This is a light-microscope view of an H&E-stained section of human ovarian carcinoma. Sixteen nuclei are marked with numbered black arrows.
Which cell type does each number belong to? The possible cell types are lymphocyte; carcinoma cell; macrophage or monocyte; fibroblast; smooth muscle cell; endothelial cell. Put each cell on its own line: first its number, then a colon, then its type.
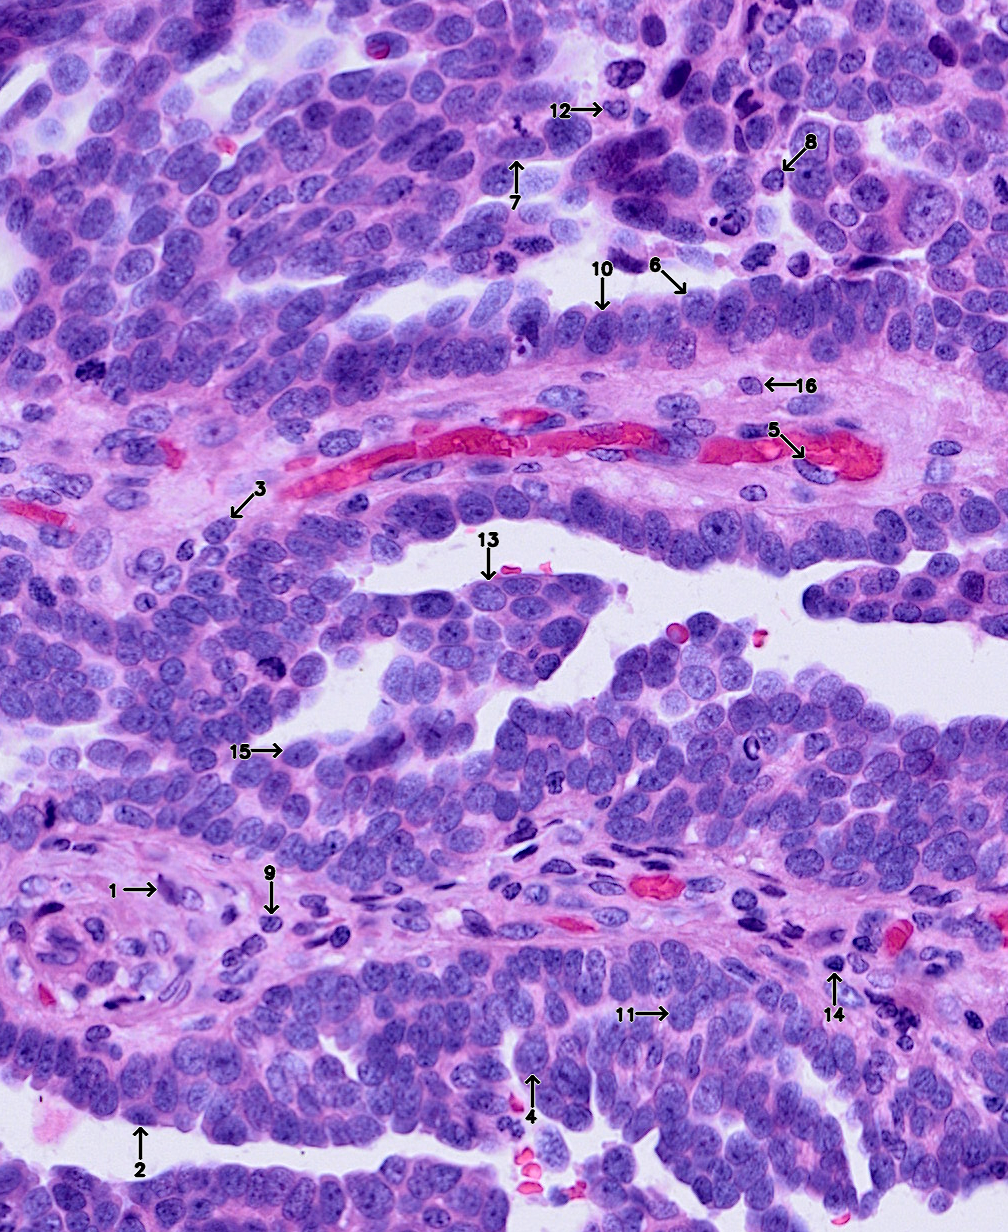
1: fibroblast
2: carcinoma cell
3: macrophage or monocyte
4: carcinoma cell
5: endothelial cell
6: carcinoma cell
7: carcinoma cell
8: macrophage or monocyte
9: lymphocyte
10: carcinoma cell
11: carcinoma cell
12: macrophage or monocyte
13: carcinoma cell
14: lymphocyte
15: carcinoma cell
16: macrophage or monocyte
